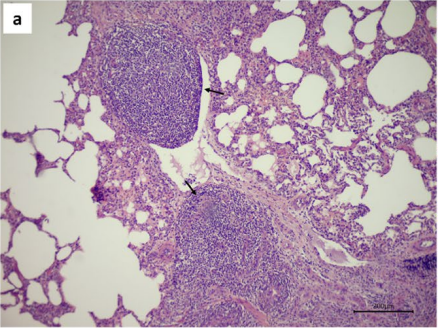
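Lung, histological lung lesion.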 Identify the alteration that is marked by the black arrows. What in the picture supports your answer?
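Two large round, densely packed purple nodules of small round cells. The nodules sit beside an airway and vessel among alveoli. The nodules are far larger than the surrounding alveoli.
Hyperplasia of lymphoid follicles.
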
